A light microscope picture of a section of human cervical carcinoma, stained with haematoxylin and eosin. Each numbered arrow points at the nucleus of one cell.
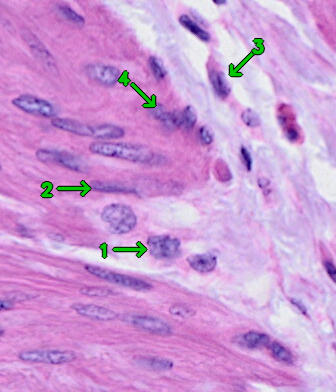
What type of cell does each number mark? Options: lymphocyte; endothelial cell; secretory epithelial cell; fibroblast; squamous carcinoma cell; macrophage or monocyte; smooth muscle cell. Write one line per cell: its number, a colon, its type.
1: macrophage or monocyte
2: smooth muscle cell
3: macrophage or monocyte
4: smooth muscle cell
